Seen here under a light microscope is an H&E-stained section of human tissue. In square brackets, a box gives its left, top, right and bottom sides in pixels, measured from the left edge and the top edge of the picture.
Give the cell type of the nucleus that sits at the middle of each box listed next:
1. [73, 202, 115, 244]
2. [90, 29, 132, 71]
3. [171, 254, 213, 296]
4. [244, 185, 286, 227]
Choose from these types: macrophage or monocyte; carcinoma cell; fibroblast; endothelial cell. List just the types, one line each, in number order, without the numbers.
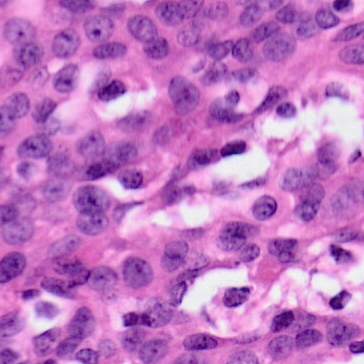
carcinoma cell
carcinoma cell
carcinoma cell
macrophage or monocyte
